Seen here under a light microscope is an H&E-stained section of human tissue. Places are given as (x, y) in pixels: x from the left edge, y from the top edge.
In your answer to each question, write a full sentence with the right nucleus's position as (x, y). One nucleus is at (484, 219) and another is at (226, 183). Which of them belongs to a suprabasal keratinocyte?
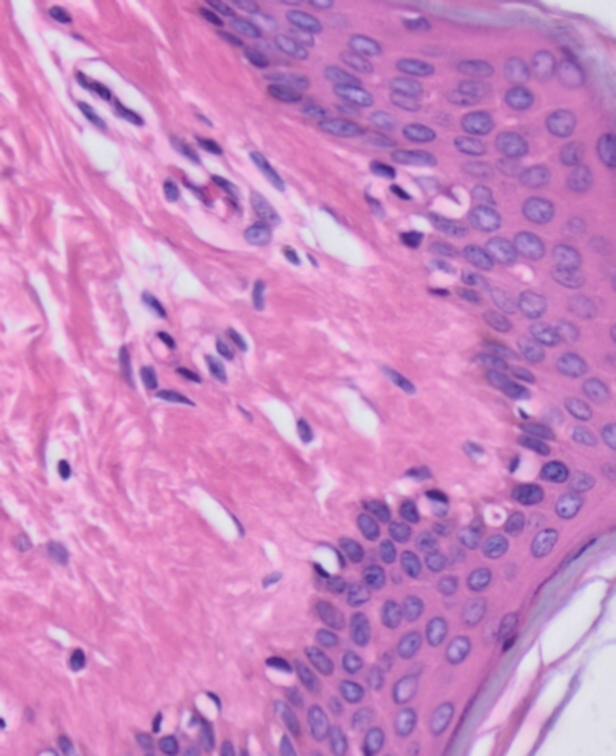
It is the nucleus at (484, 219), not the other one, that belongs to a suprabasal keratinocyte.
